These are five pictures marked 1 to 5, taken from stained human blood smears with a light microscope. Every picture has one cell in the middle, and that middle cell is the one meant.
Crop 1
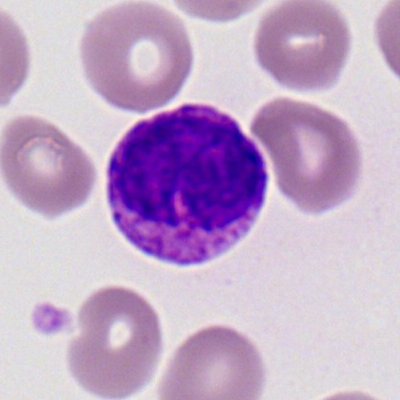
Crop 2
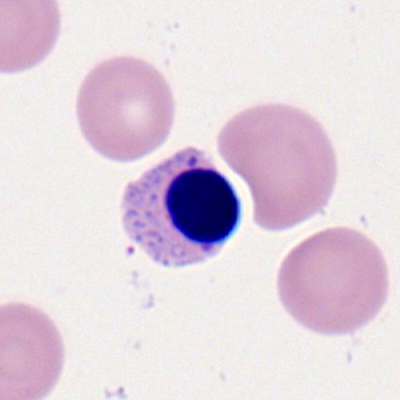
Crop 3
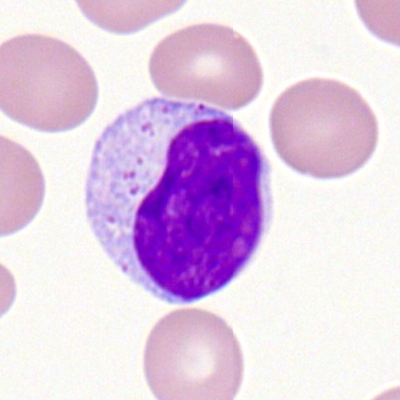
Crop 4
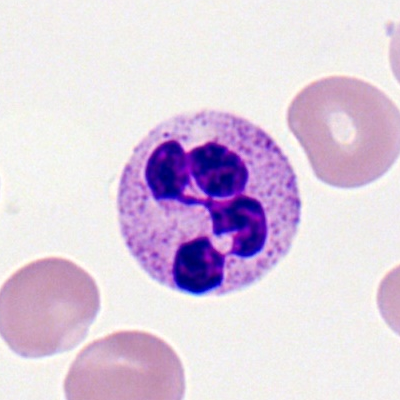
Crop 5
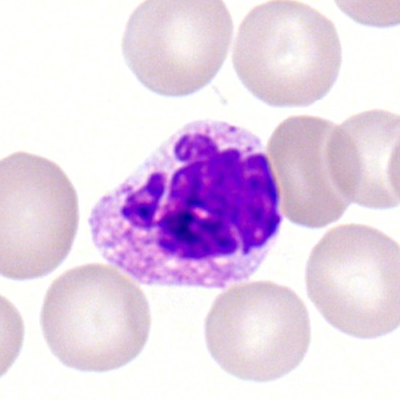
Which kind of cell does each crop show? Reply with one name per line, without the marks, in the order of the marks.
basophil
erythroblast
lymphocyte
segmented neutrophil
basophil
